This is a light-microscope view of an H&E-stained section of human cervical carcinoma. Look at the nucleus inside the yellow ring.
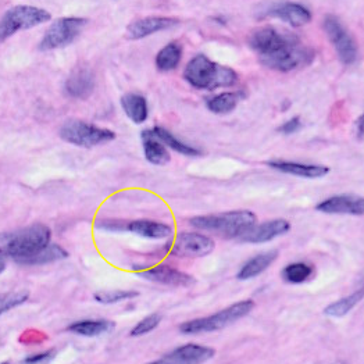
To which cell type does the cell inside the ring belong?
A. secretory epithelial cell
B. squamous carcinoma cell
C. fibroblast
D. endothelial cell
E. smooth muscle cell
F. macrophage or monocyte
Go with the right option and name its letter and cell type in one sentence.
Of all the options, D is right, since the cell inside the ring is an endothelial cell.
